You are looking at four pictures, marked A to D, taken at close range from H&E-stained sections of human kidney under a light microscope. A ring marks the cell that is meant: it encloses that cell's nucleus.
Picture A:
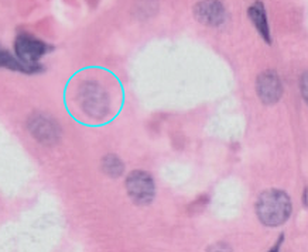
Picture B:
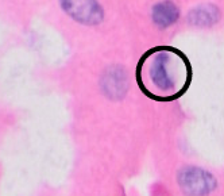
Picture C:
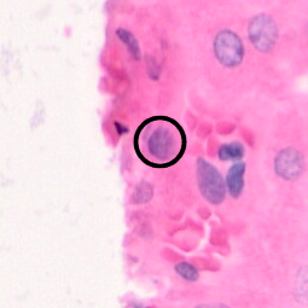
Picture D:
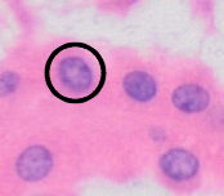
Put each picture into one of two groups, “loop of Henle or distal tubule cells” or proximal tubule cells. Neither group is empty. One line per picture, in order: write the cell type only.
proximal tubule cell
loop of Henle or distal tubule cell
proximal tubule cell
proximal tubule cell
